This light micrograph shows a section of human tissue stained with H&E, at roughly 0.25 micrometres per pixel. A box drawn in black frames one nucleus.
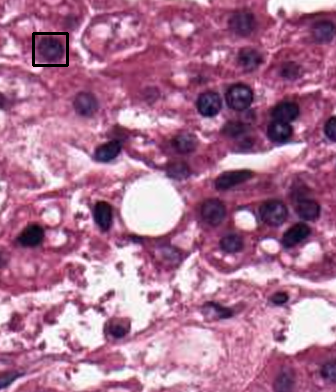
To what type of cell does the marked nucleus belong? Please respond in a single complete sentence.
The mark falls on a nucleus belonging to an adrenal cortical cell.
